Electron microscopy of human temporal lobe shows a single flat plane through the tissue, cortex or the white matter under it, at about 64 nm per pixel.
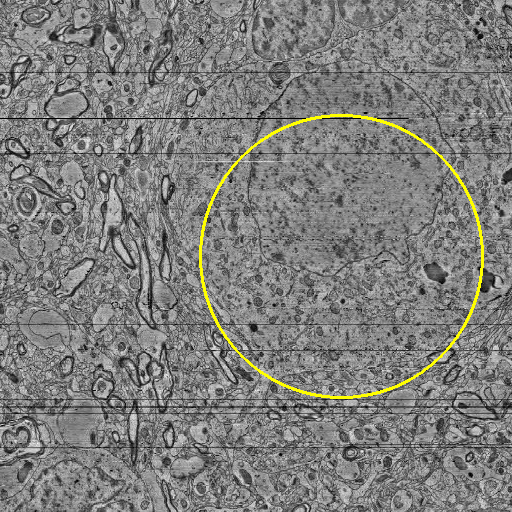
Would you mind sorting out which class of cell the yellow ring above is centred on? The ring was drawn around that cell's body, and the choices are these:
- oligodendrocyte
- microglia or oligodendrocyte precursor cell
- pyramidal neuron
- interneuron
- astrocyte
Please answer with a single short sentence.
This is the cell body of a pyramidal neuron.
